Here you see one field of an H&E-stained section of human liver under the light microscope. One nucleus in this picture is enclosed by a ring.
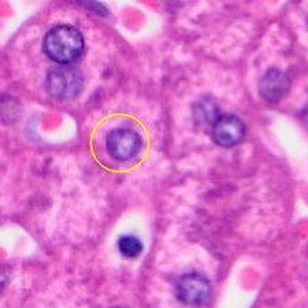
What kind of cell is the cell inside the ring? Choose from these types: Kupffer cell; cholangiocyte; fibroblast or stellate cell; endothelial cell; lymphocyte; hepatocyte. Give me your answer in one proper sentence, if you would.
In this section, the cell inside the ring is a hepatocyte.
